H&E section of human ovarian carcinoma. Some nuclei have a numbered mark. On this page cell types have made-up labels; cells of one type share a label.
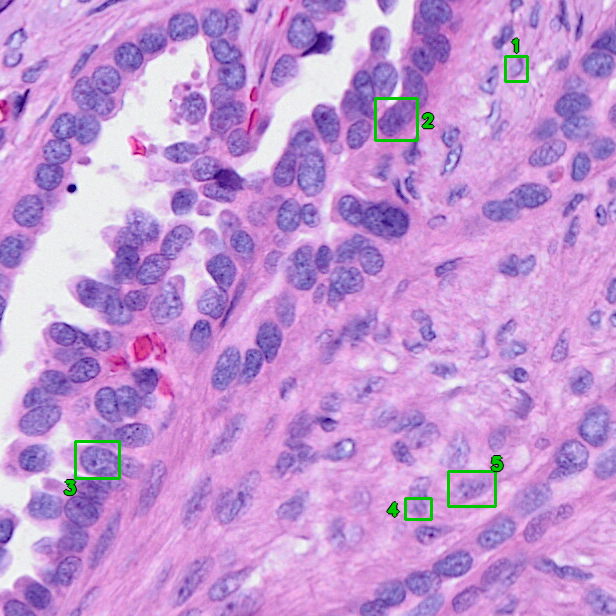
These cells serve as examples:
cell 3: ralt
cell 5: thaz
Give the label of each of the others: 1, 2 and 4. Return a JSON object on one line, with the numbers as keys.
{"1": "thaz", "2": "ralt", "4": "thaz"}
